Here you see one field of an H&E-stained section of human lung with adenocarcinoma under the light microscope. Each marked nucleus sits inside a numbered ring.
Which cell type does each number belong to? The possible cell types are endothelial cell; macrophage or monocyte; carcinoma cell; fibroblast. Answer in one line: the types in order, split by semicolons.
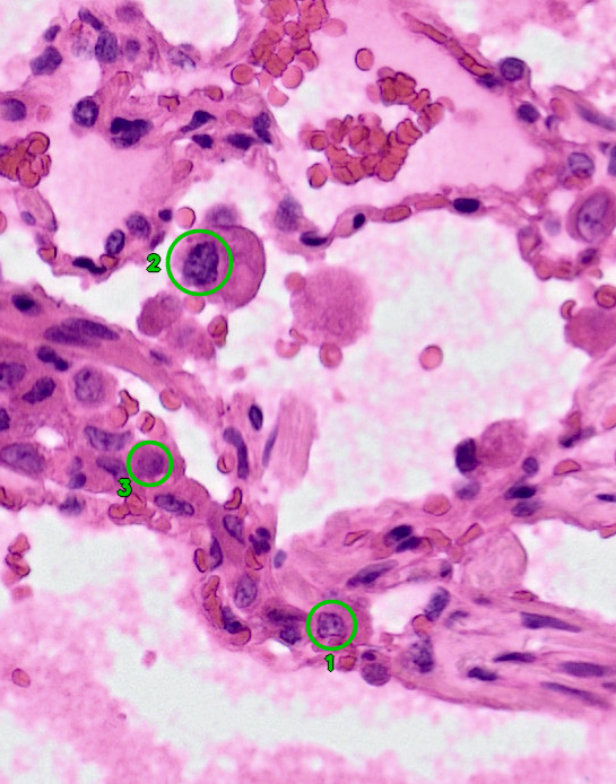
macrophage or monocyte; carcinoma cell; macrophage or monocyte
